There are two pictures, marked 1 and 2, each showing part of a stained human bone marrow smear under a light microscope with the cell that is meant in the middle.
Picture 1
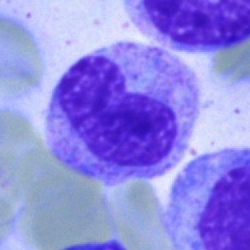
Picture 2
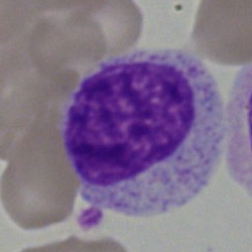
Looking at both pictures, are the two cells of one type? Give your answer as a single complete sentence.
No; the cell in picture 1 is a metamyelocyte, while the one in picture 2 is a myelocyte.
